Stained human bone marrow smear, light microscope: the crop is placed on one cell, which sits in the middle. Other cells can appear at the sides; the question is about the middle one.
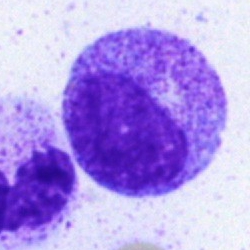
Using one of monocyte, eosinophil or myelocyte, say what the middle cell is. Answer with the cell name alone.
myelocyte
